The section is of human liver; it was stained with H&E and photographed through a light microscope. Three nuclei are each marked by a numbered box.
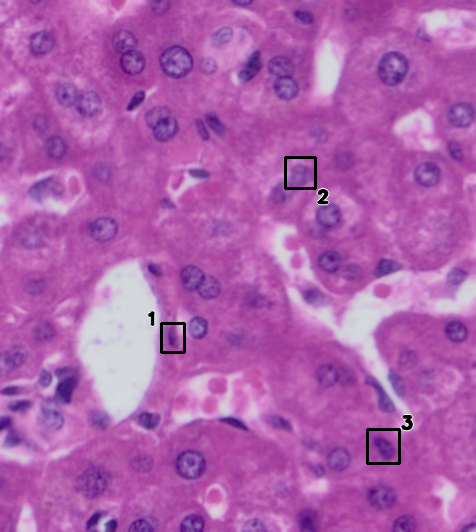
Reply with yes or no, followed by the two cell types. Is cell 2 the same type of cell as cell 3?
No, cell 2 is a hepatocyte and cell 3 is a fibroblast or stellate cell.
